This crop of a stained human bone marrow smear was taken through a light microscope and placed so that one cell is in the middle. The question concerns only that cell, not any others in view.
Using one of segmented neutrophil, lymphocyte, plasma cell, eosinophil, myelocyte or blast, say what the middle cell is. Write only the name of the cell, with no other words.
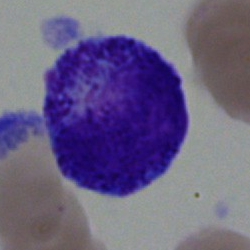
myelocyte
